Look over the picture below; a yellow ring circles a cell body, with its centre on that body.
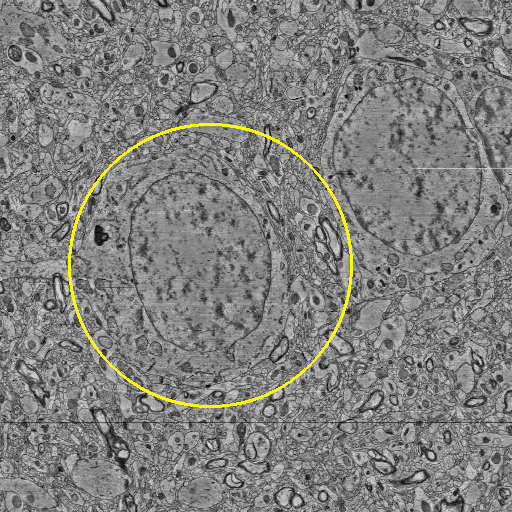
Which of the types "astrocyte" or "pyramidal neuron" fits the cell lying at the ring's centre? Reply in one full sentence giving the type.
The picture shows a pyramidal neuron at the centre of the yellow ring.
